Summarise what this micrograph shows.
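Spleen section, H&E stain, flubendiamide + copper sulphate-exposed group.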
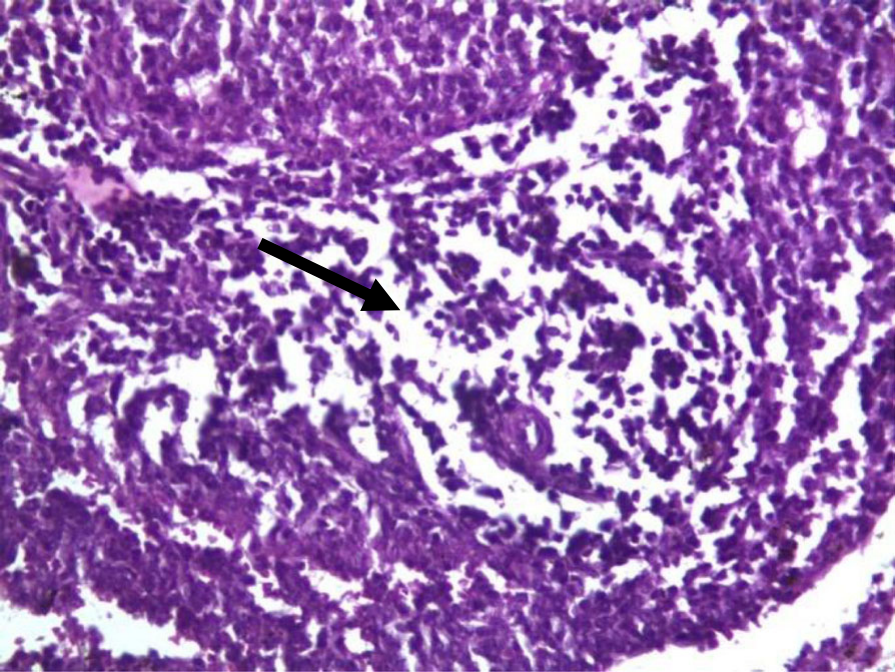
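Splenic parenchyma is made up of small, round, densely purple-stained splenocytes with little visible cytoplasm. Across the field, and most strongly in the centre, these cells are separated by irregular clear spaces and clefts, leaving a loosened, thinned tissue in which cells lie singly or in small clusters.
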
